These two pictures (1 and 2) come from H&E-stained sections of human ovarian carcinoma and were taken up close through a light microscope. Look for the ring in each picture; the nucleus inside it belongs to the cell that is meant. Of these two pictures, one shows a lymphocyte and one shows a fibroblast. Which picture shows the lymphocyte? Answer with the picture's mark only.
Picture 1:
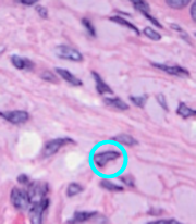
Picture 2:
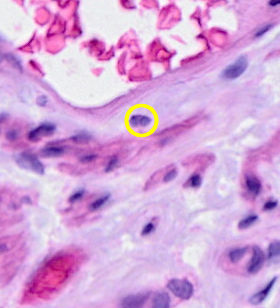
2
